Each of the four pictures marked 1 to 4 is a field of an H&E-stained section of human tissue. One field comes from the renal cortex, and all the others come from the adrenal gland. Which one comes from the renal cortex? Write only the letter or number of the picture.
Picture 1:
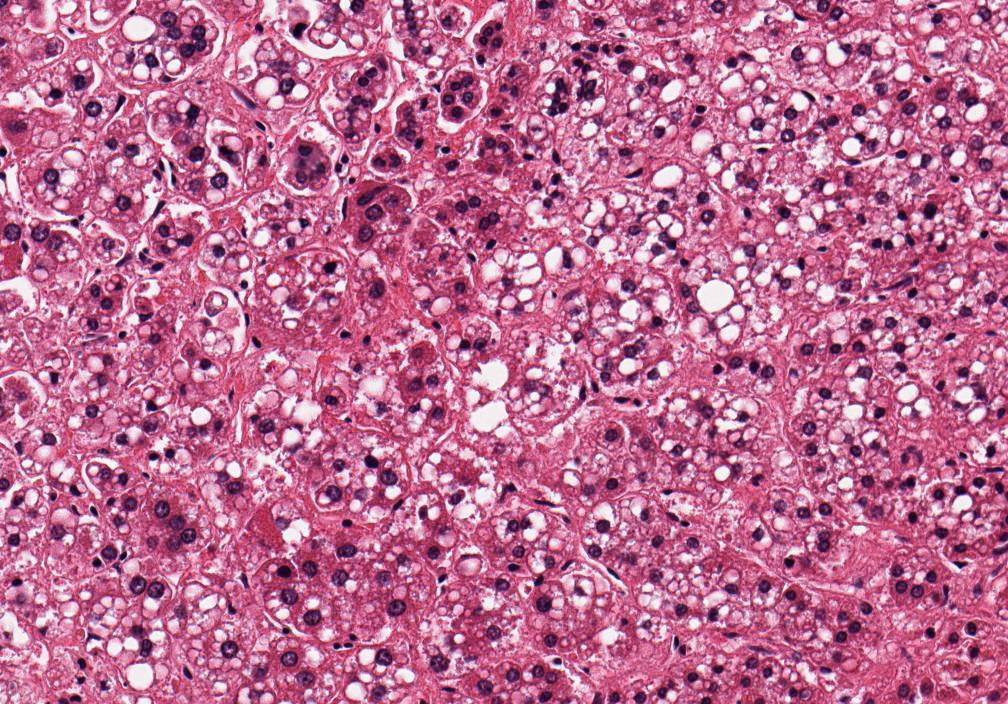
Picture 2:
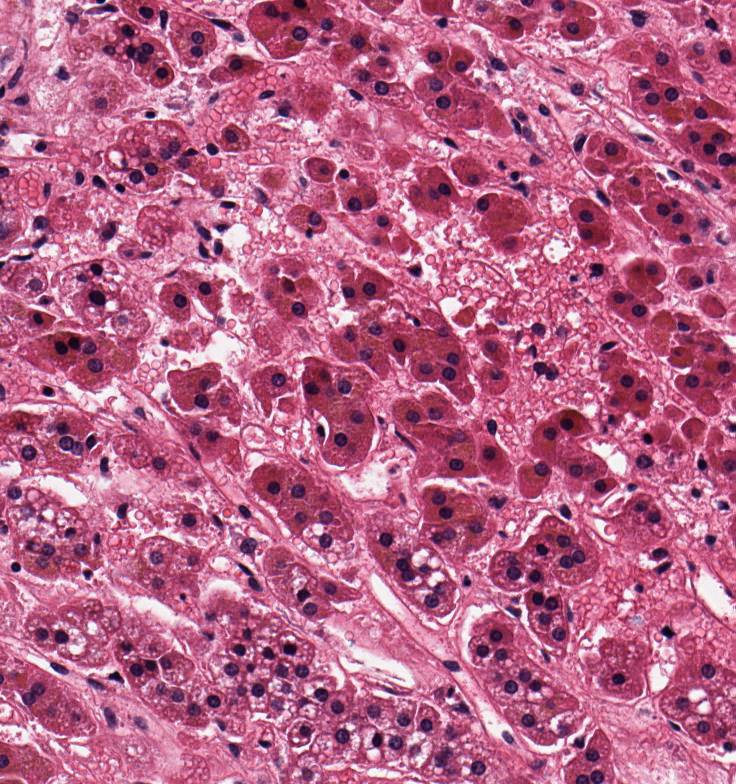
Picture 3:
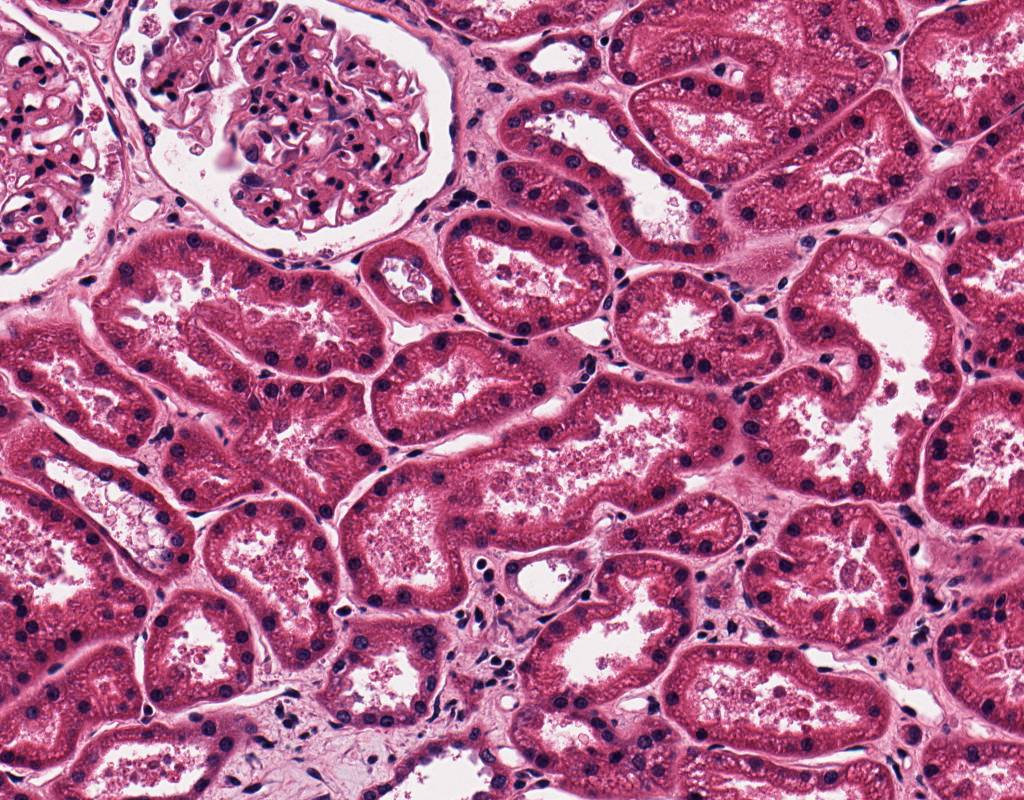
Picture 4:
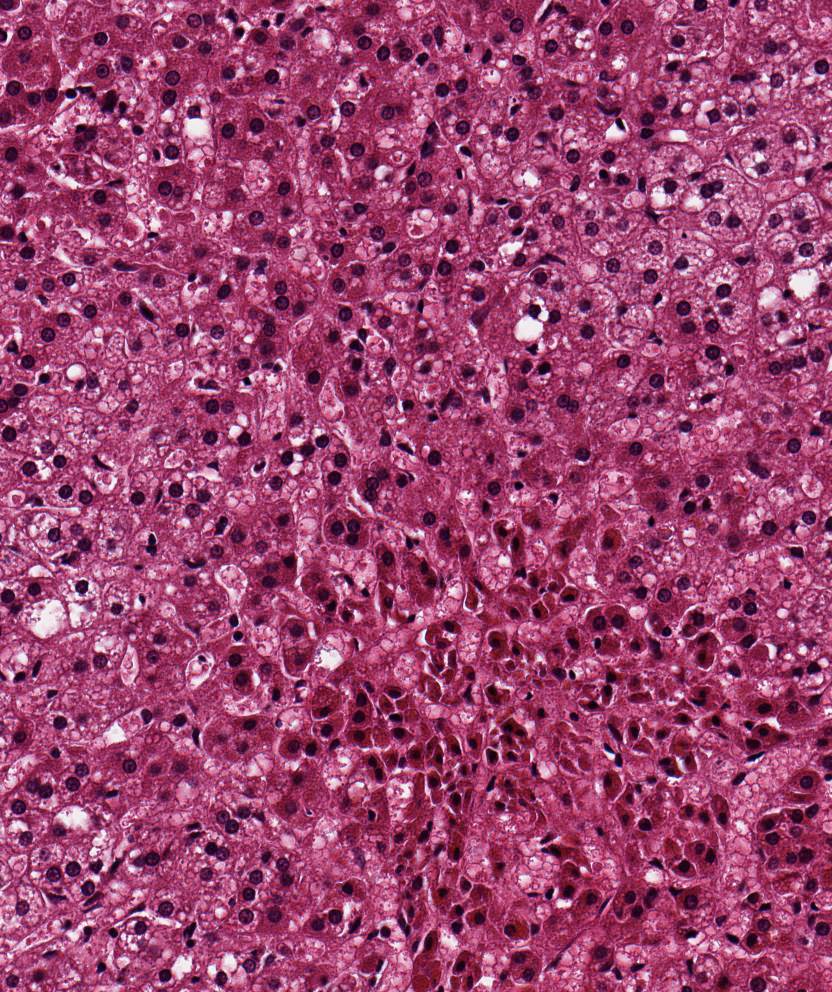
3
